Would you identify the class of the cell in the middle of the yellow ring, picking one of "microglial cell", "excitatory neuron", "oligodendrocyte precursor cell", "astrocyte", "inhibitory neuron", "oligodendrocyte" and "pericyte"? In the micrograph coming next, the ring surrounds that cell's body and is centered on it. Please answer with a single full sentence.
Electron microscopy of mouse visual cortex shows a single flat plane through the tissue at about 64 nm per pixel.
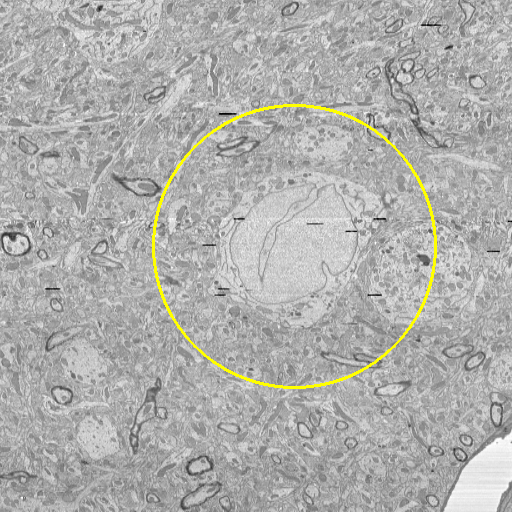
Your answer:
In the micrograph, it is an inhibitory neuron whose body lies at the ring's center.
